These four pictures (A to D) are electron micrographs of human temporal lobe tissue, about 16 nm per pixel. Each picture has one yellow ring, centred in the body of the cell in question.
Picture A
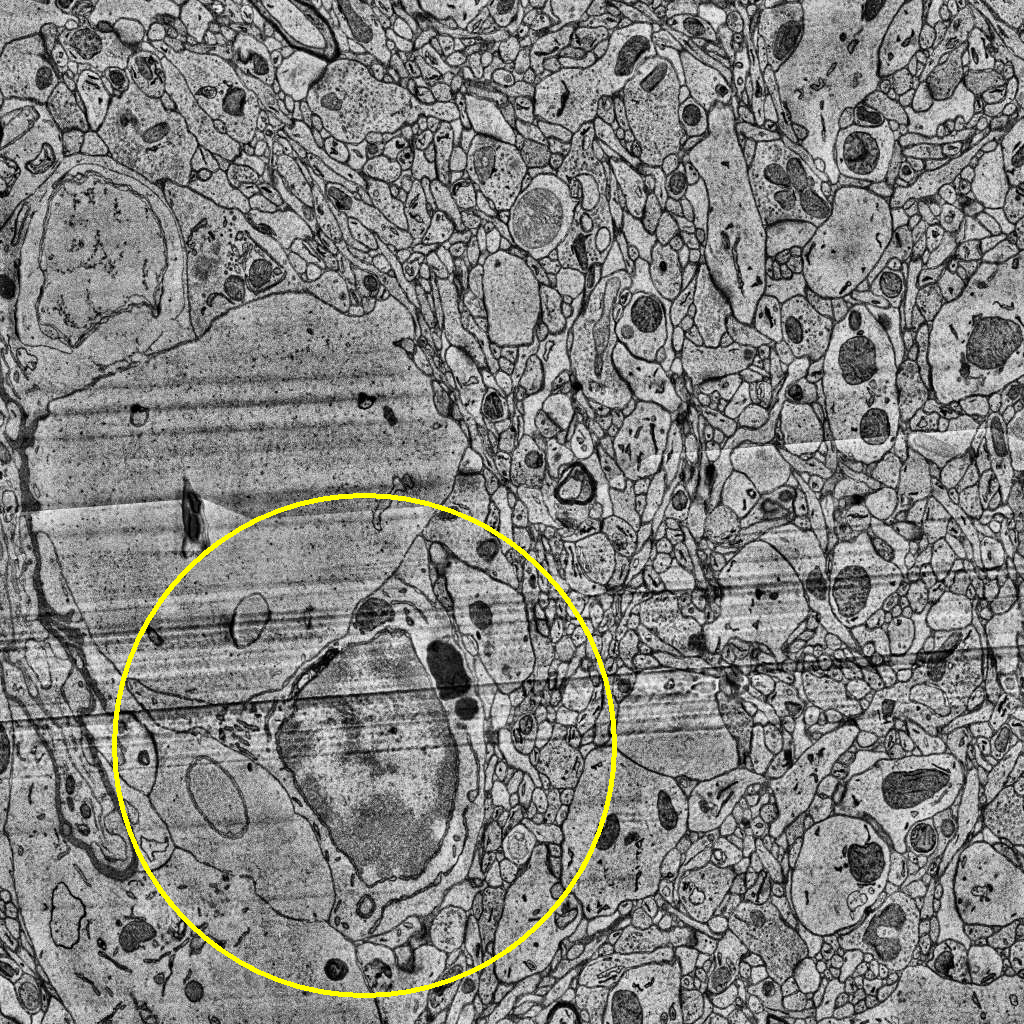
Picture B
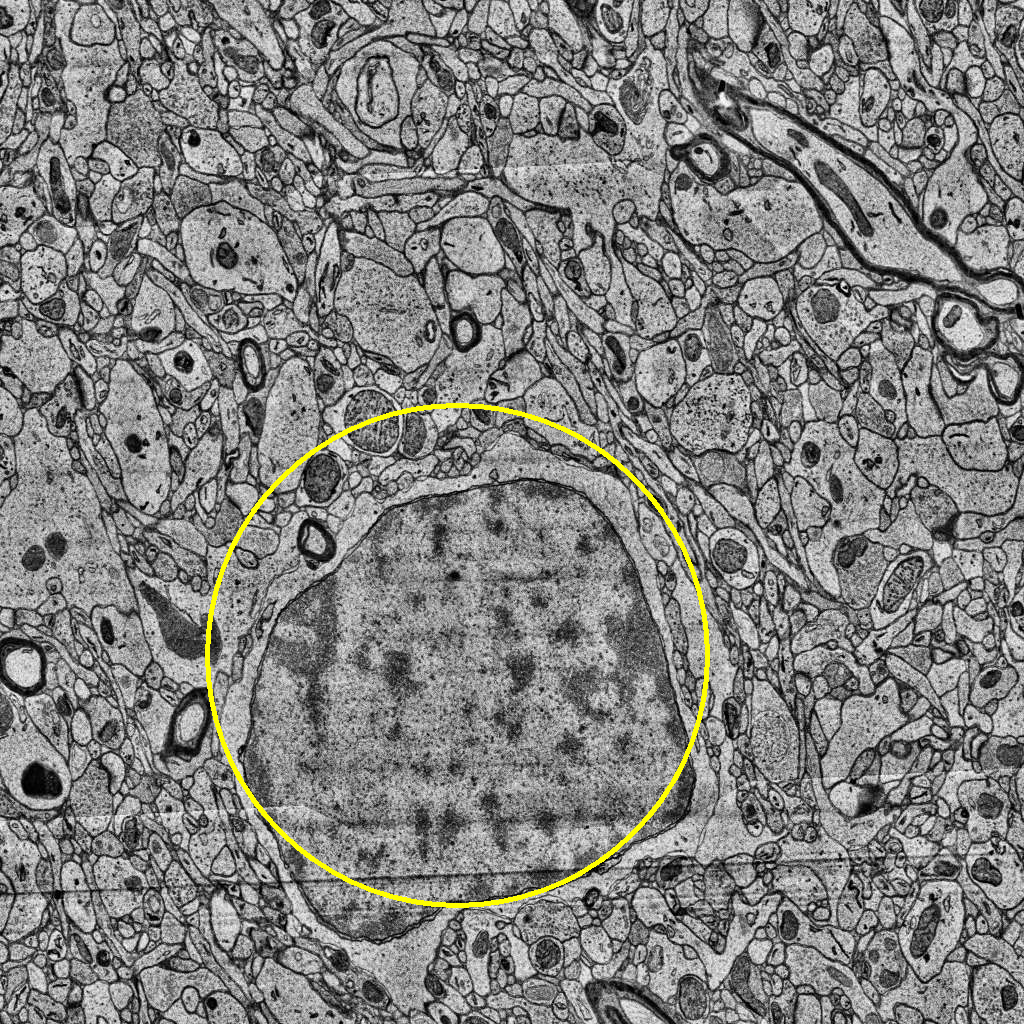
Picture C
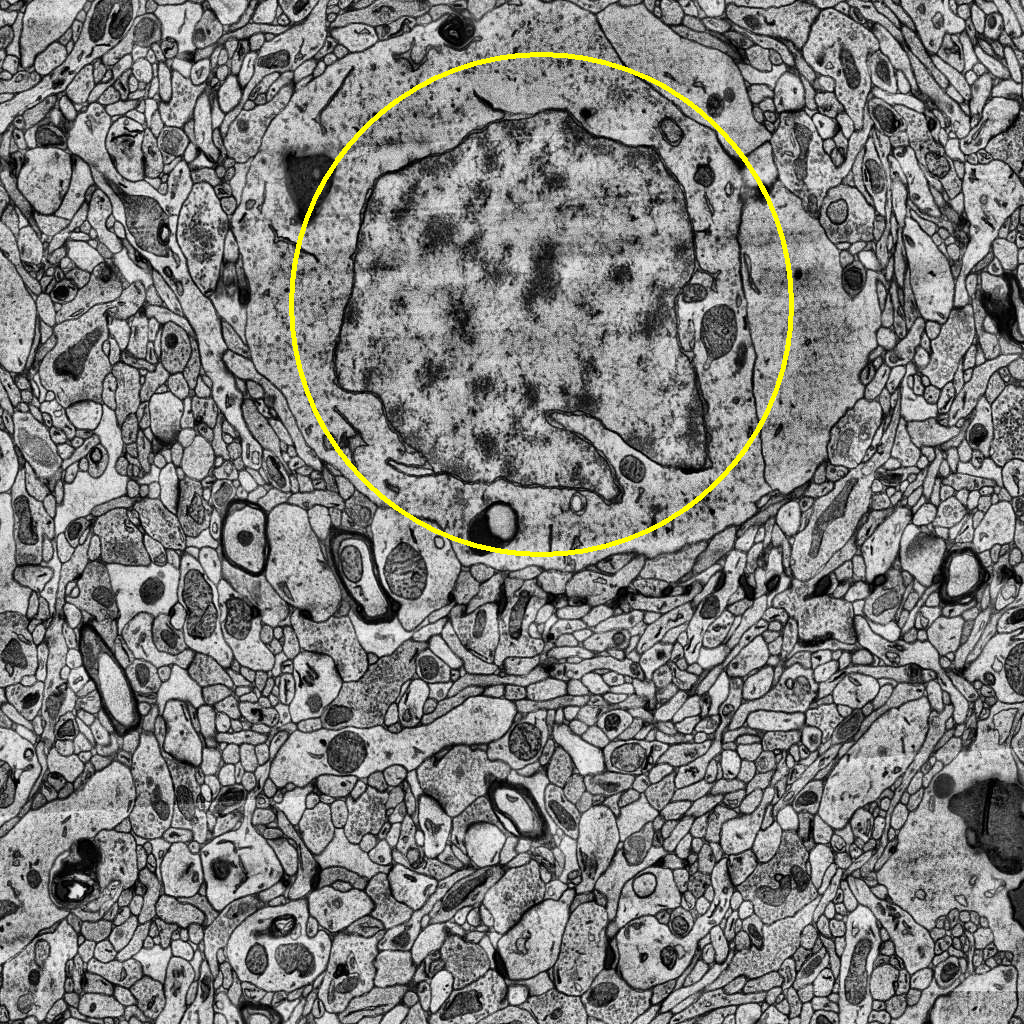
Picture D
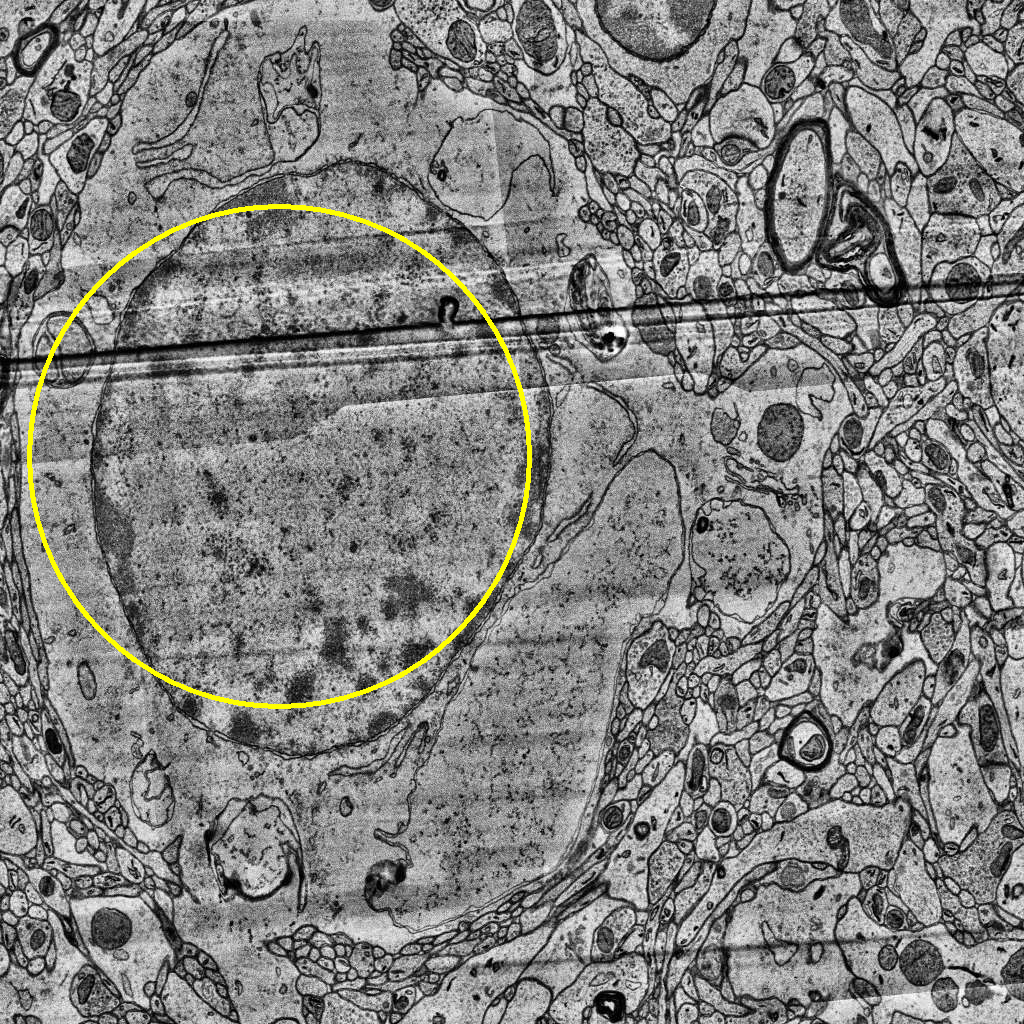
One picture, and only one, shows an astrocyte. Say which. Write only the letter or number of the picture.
D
